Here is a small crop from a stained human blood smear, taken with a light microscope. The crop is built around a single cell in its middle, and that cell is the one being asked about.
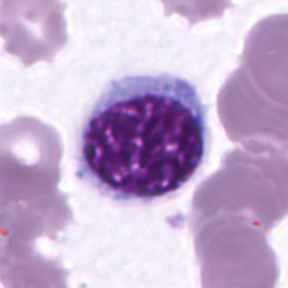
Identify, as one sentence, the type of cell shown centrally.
The cell in the middle of this crop is a plasma cell.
